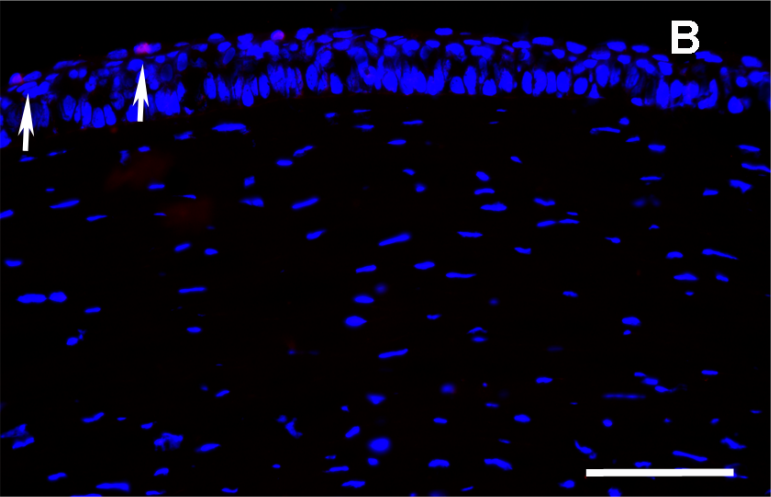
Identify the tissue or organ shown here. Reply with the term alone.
Corneas.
